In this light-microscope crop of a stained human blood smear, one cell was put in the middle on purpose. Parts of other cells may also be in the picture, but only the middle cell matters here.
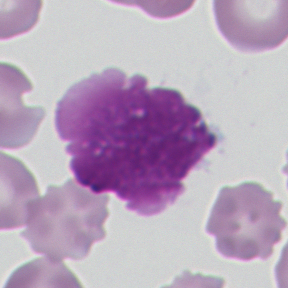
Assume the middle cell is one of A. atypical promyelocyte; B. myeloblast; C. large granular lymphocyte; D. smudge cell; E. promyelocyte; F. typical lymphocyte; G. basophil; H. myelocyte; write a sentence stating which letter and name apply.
The right choice is option D: the cell in the middle is a smudge cell.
